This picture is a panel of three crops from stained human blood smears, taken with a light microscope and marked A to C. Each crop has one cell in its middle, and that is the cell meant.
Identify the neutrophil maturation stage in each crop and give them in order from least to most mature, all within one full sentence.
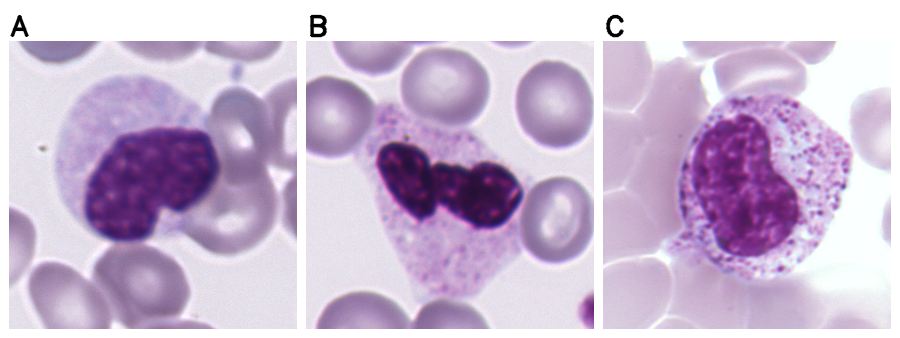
So the order, from least to most mature, is crop C (a metamyelocyte), crop A (a band neutrophil) and crop B (a segmented neutrophil).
